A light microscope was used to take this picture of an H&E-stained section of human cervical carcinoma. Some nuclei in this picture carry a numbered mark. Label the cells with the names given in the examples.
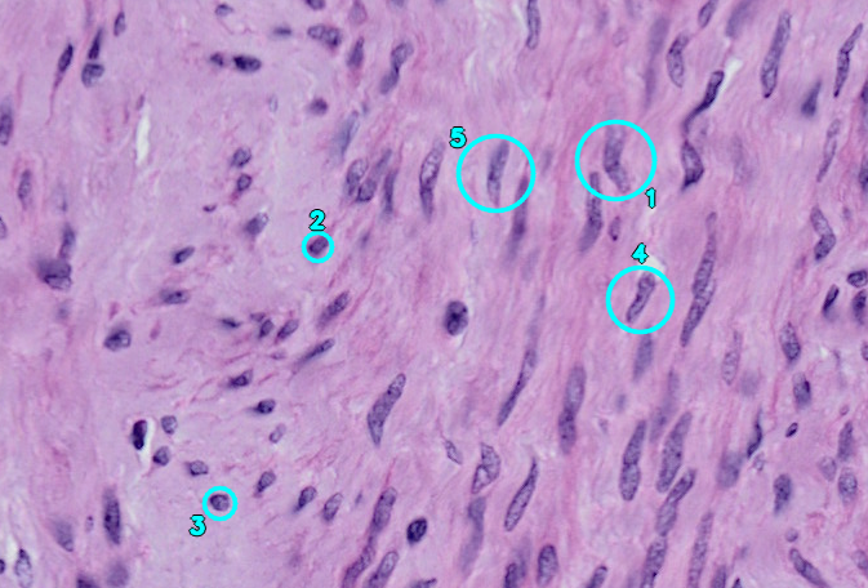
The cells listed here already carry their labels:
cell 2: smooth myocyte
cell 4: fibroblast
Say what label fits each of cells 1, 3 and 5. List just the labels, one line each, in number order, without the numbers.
smooth myocyte
fibroblast
fibroblast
